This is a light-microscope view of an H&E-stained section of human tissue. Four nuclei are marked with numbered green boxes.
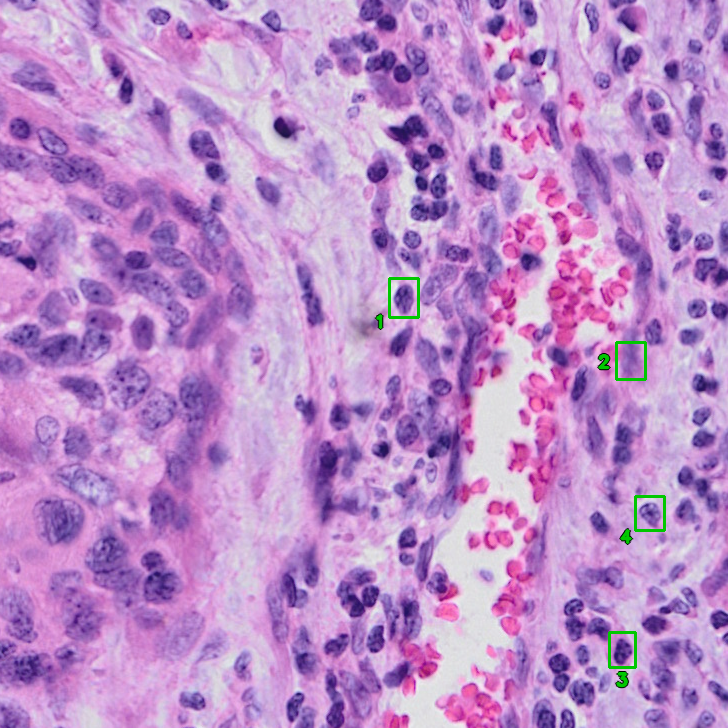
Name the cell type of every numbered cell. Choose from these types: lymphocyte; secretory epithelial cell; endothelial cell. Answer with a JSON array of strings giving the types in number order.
["lymphocyte", "endothelial cell", "lymphocyte", "lymphocyte"]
